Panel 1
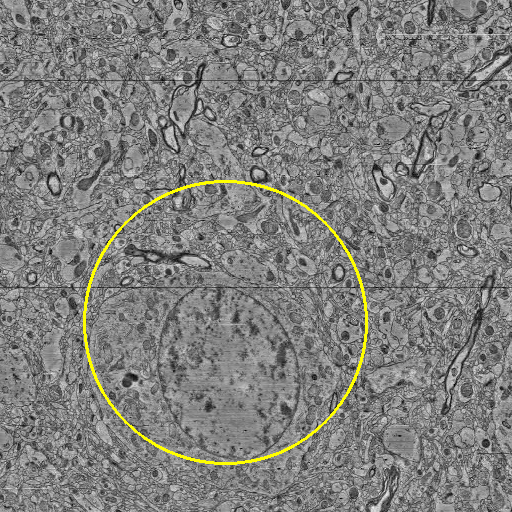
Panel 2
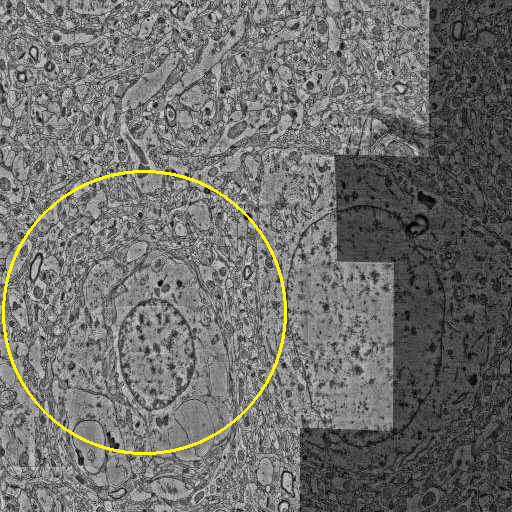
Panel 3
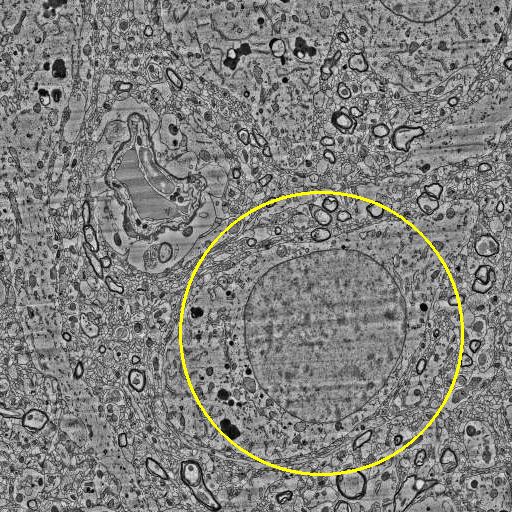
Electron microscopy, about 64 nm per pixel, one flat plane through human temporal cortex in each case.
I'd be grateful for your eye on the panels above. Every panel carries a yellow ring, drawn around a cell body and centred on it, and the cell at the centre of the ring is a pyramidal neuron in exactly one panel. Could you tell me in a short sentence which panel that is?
Panel 3 is the one with it at the centre of the ring.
